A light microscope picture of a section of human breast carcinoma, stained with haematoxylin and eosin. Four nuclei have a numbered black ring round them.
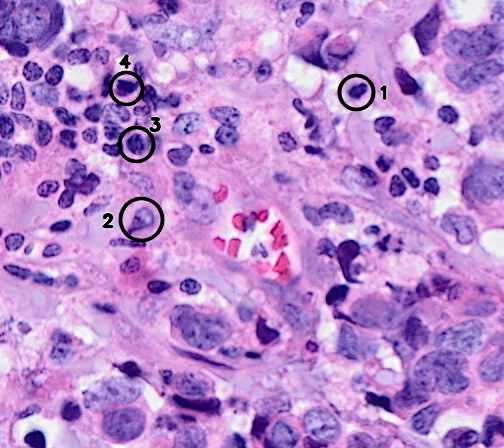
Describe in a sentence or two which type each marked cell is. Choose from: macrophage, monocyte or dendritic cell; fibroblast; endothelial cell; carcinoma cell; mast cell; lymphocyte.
Cells 1, 3 and 4 are lymphocytes. Cell 2 is a macrophage, monocyte or dendritic cell.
